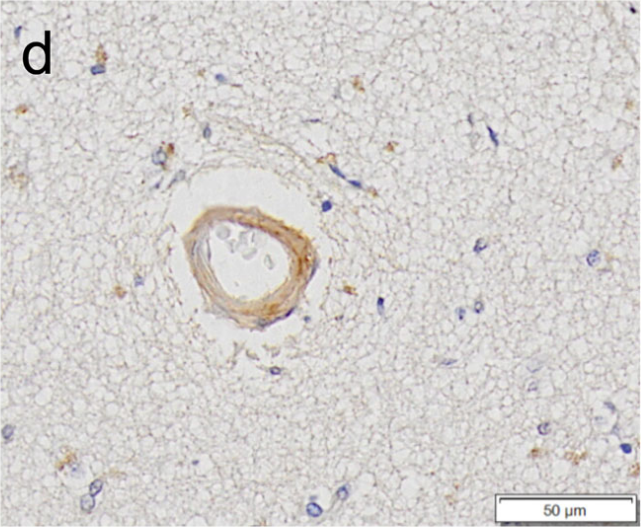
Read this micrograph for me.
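A small parenchymal vessel sits within finely vacuolated brain tissue. The vessel wall is stained brown all the way around its circumference and through its thickness, with a layered, fibrous look. The lumen holds a few pale round red blood cells. A clear perivascular space rings the vessel, and small blue nuclei and a few tiny brown dots lie scattered in the surrounding tissue.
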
